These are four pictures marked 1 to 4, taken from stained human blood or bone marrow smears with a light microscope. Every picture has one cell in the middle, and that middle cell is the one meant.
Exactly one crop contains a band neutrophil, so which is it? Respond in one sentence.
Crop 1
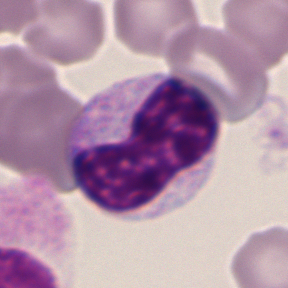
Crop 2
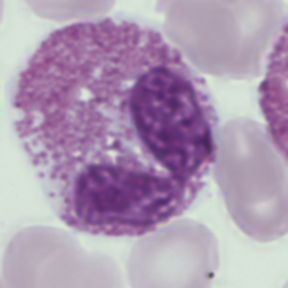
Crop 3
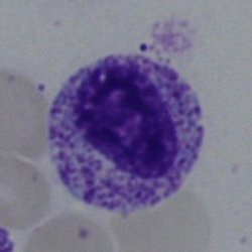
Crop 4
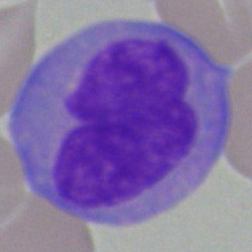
It is crop 1, not any other, that shows a band neutrophil.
